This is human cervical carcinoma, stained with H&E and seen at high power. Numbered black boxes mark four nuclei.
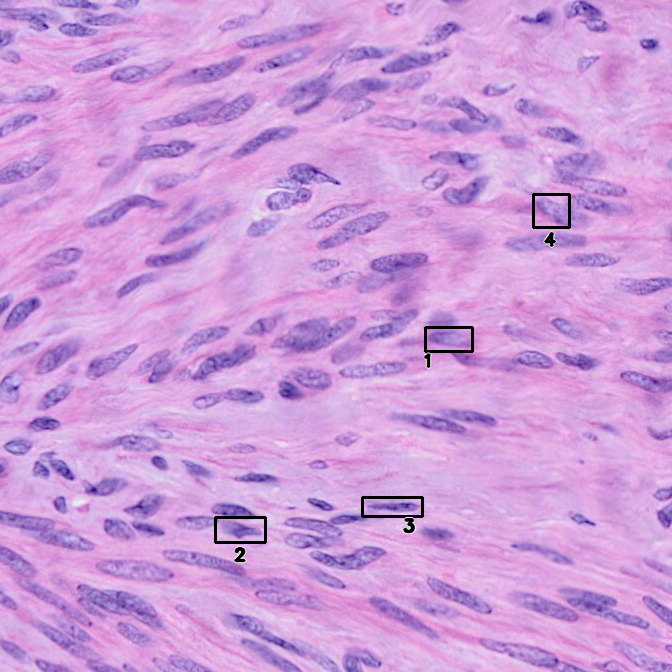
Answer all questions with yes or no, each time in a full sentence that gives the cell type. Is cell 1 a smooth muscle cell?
Yes, the cell that the number 1 labels is a smooth muscle cell.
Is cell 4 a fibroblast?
No, cell 4 is to be read as a smooth muscle cell, not a fibroblast.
